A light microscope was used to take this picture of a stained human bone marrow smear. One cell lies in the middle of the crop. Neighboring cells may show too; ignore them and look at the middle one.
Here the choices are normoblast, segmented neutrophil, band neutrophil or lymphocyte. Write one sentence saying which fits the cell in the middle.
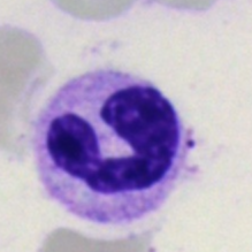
Regarding the central cell, it is a segmented neutrophil.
